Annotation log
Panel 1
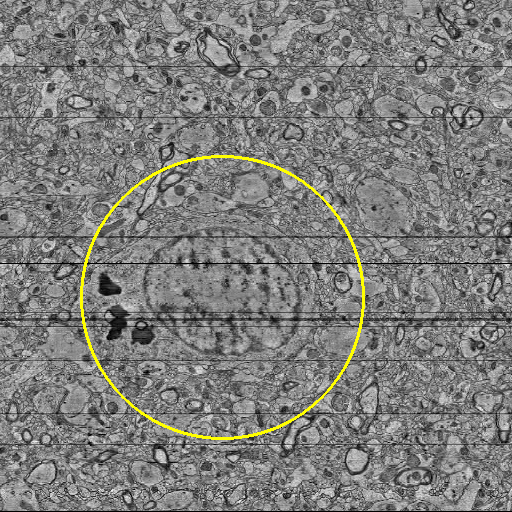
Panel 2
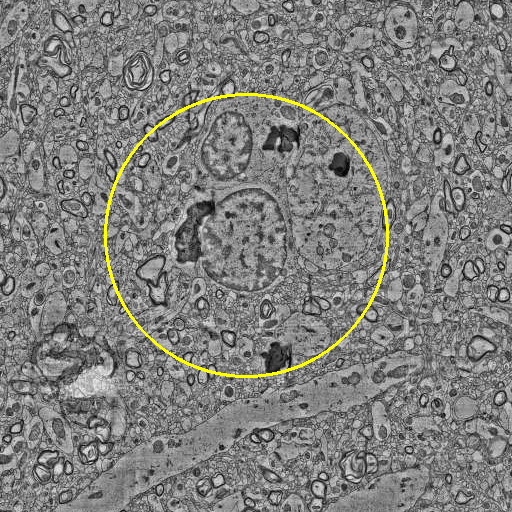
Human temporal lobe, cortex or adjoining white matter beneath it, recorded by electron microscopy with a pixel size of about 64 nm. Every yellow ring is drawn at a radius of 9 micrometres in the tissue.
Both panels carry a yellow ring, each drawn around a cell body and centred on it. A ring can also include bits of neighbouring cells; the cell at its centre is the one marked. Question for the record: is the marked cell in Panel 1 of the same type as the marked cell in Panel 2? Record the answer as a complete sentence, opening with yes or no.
No, the marked cells in Panel 1 and Panel 2 are of two types.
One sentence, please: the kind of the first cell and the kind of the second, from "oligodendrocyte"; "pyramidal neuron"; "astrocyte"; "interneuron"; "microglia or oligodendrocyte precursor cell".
The ring in the first picture surrounds an interneuron, and the ring in the second surrounds an oligodendrocyte.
